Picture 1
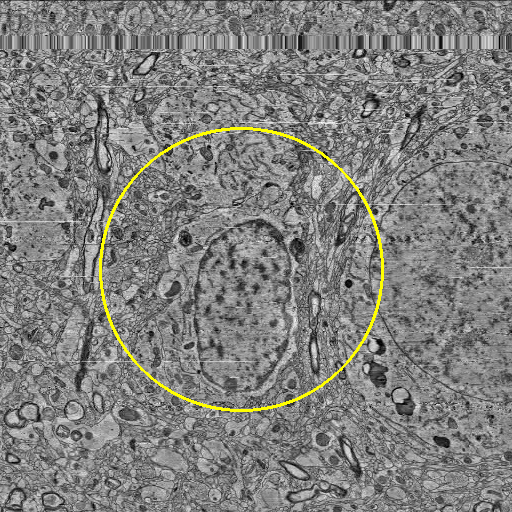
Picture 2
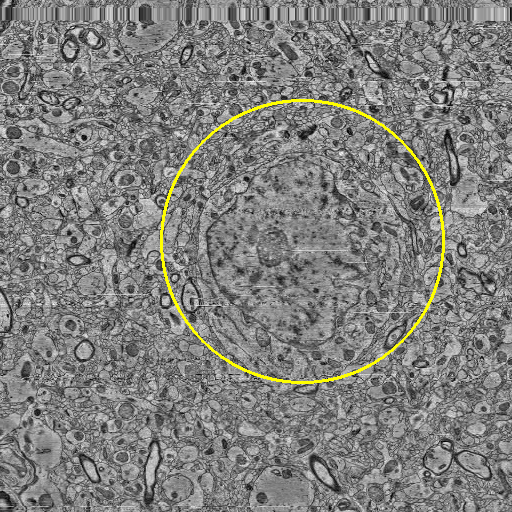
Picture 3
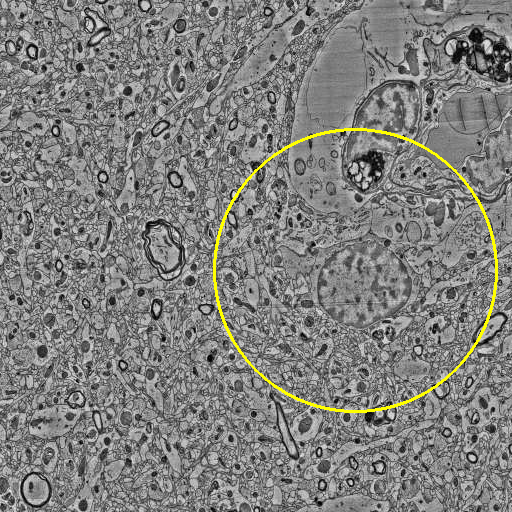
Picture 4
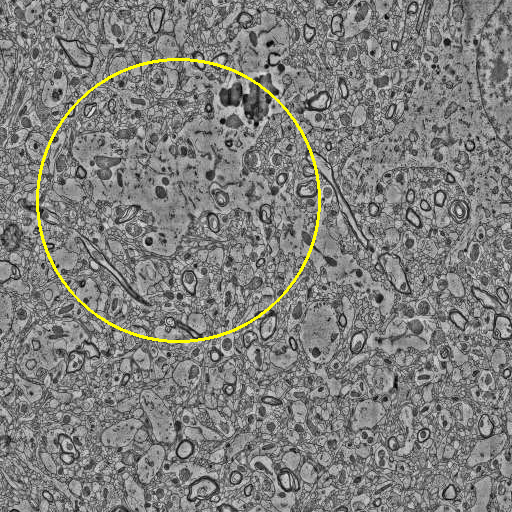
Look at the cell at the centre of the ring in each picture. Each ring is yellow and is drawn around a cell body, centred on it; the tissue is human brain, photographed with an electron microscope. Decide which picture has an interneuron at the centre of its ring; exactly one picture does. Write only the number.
2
